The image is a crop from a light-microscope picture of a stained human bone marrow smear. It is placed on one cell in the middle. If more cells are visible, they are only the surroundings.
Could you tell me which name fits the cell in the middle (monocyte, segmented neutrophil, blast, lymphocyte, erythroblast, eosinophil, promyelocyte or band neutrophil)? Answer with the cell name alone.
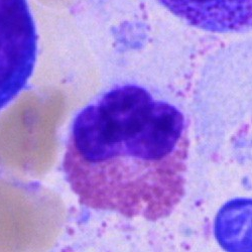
eosinophil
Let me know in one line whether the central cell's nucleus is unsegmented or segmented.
Segmentation of the nucleus into two or more lobes is the finding.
